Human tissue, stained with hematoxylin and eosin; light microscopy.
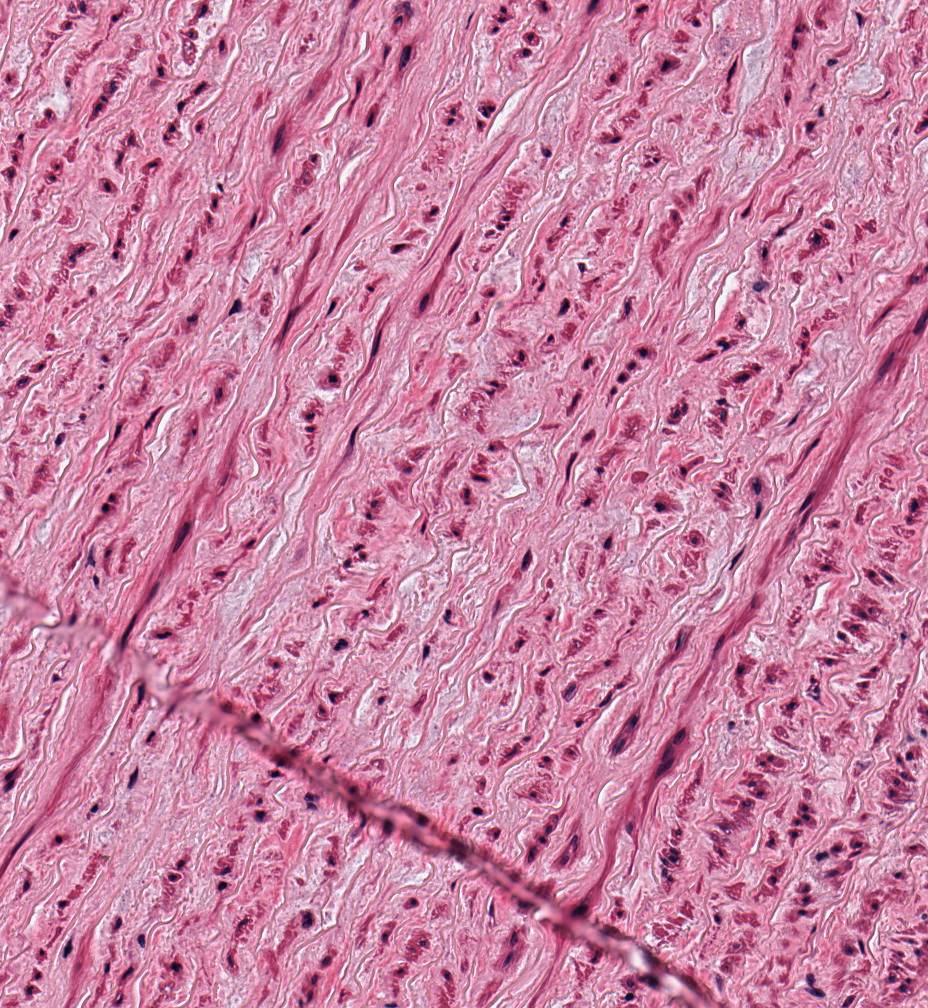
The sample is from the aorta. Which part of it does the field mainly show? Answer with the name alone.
tunica media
